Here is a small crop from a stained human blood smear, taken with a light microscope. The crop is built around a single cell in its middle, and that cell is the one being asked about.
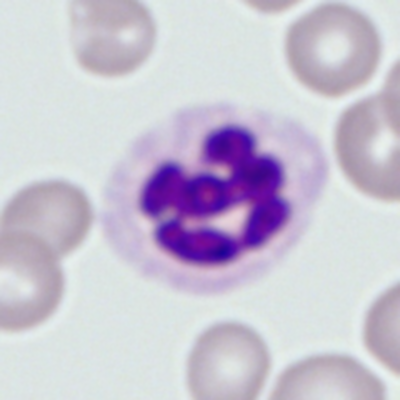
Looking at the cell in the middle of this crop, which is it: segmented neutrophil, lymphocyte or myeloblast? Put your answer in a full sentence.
The center cell of this crop is a segmented neutrophil.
